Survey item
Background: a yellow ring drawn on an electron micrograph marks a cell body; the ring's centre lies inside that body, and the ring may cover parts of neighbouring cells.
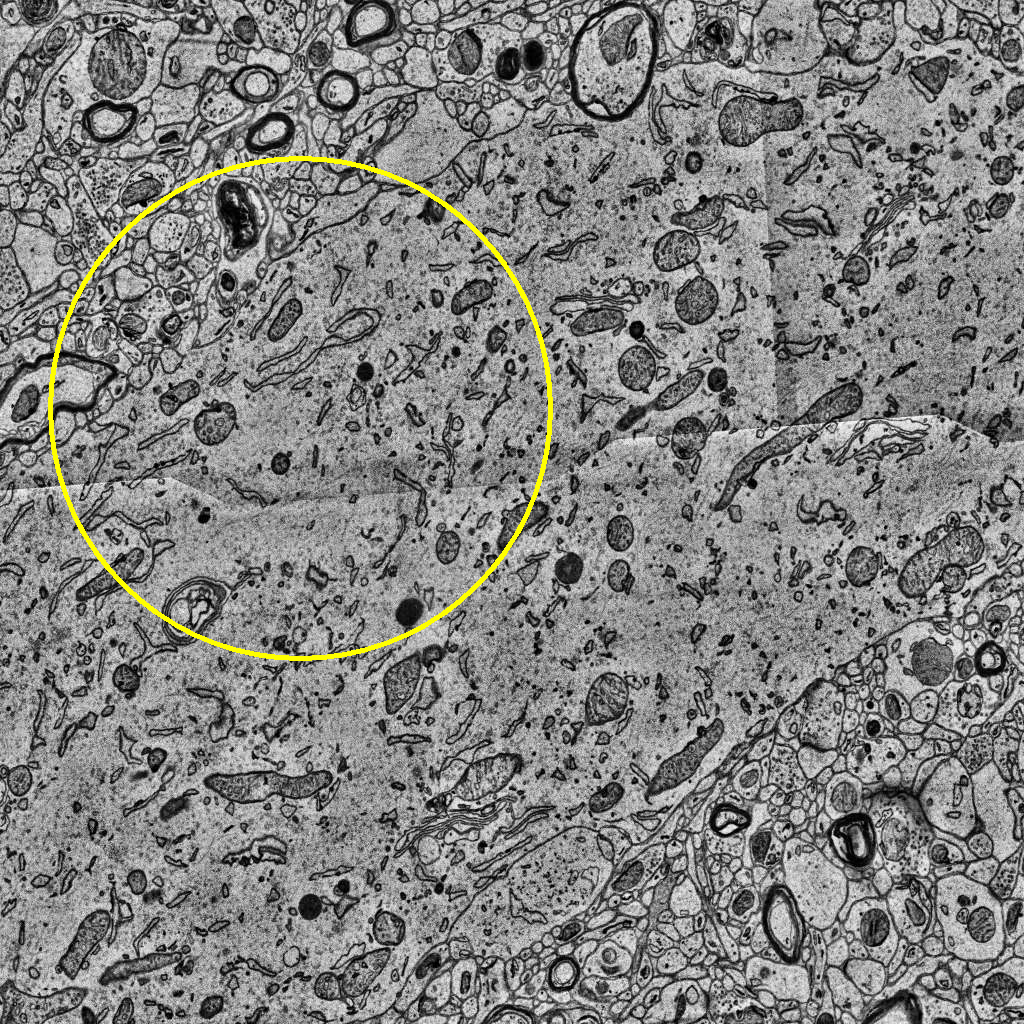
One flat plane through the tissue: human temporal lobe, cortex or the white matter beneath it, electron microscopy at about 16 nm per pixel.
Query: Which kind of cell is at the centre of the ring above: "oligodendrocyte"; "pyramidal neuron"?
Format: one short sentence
The cell in the middle of the ring is a pyramidal neuron.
